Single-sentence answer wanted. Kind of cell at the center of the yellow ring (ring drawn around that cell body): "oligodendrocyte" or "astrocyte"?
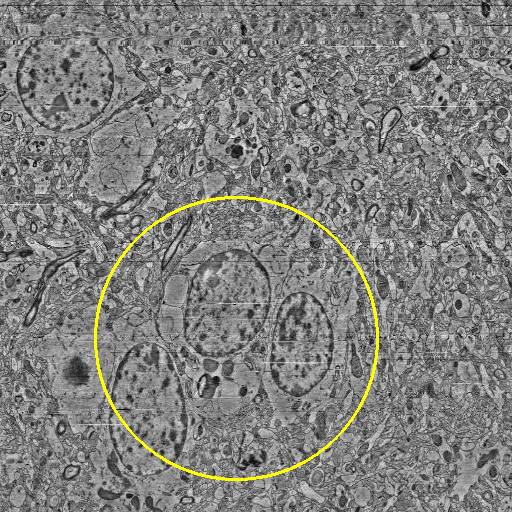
The cell centered in the ring is an astrocyte.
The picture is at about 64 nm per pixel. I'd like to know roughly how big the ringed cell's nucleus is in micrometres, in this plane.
In this plane the nucleus measures roughly 7 by 5 micrometers.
